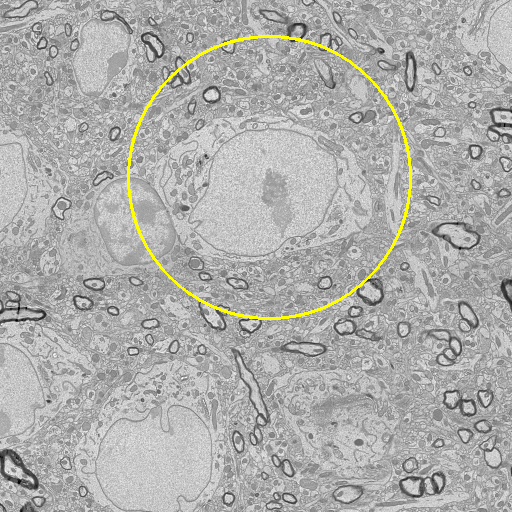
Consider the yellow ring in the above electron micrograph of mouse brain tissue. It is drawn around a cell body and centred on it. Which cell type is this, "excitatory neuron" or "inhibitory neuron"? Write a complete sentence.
The cell in question is an inhibitory neuron.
